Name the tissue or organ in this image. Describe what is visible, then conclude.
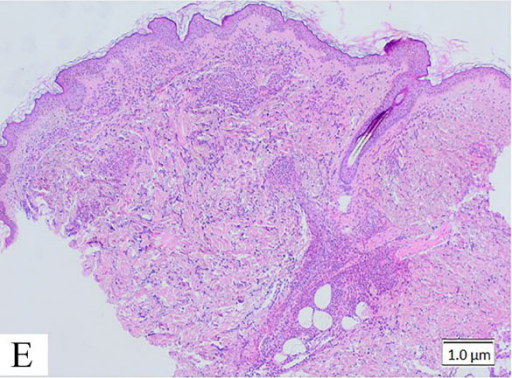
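A stratified epithelium covers the upper surface. A hair shaft and follicle run down into the underlying connective tissue. Fat cells lie at the bottom.
Hence: Skin.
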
